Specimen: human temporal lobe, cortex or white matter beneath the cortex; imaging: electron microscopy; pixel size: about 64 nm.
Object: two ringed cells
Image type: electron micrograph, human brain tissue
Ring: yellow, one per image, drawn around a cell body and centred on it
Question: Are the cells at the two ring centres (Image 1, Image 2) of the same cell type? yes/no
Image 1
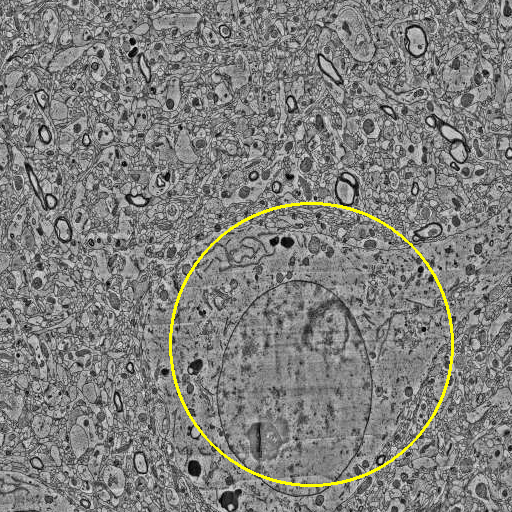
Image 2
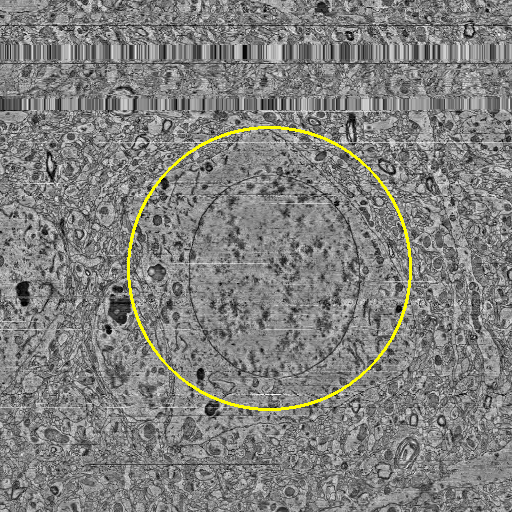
yes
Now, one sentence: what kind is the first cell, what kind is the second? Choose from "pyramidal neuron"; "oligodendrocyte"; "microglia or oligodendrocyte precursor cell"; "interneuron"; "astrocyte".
In the first picture and in the second, the ring is centred on a pyramidal neuron.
